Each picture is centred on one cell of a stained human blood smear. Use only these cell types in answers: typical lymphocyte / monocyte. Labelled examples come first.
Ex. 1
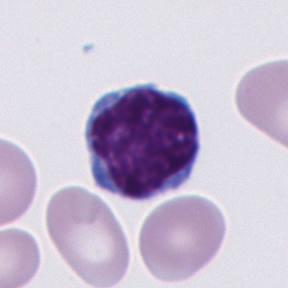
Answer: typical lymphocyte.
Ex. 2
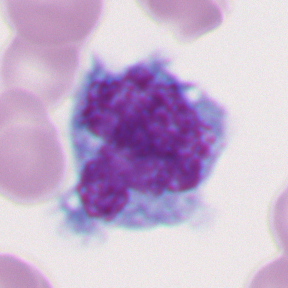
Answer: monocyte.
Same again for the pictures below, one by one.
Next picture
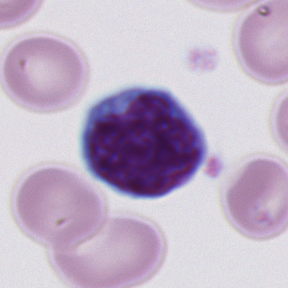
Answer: typical lymphocyte.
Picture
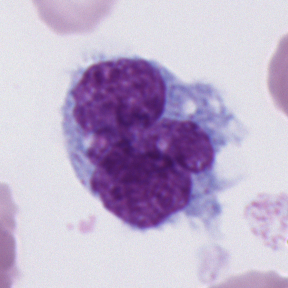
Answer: monocyte.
